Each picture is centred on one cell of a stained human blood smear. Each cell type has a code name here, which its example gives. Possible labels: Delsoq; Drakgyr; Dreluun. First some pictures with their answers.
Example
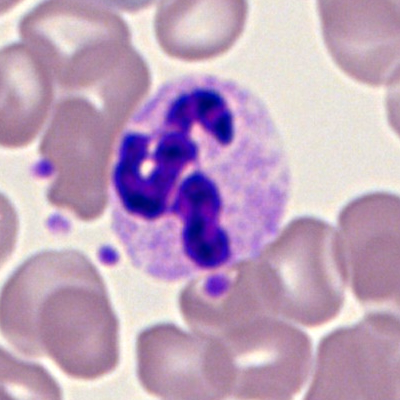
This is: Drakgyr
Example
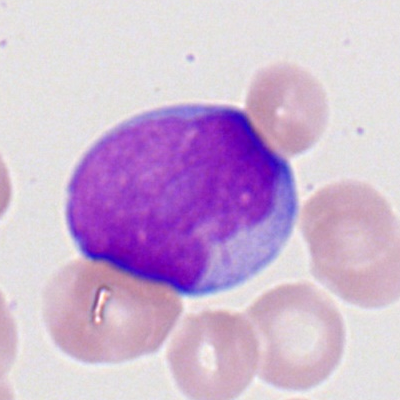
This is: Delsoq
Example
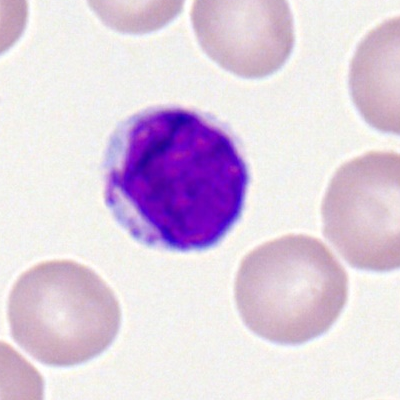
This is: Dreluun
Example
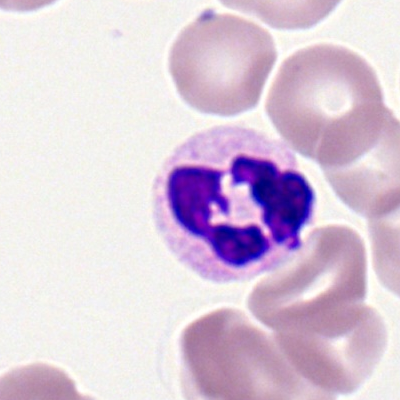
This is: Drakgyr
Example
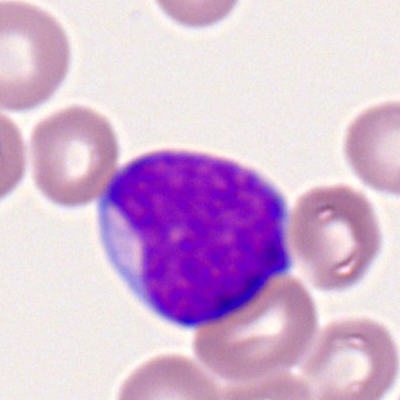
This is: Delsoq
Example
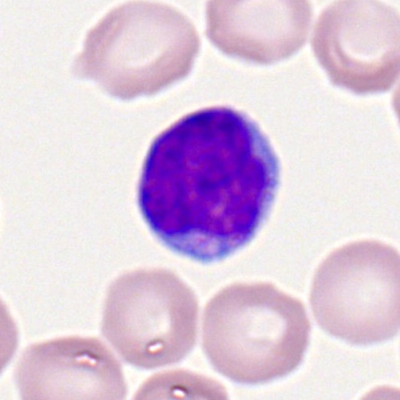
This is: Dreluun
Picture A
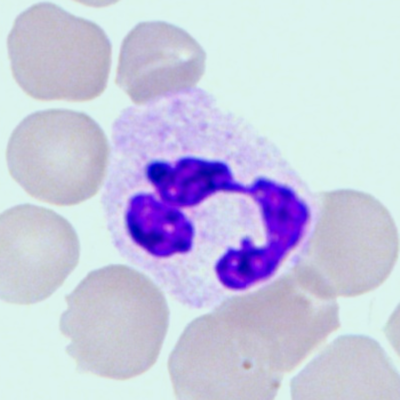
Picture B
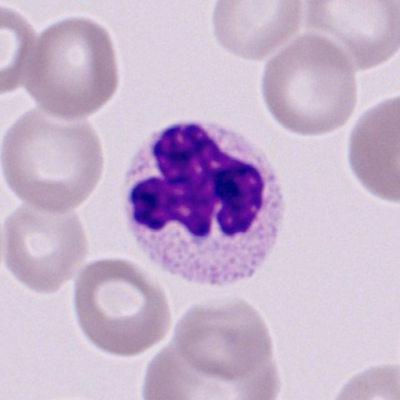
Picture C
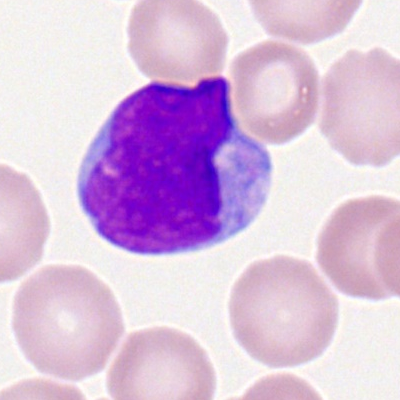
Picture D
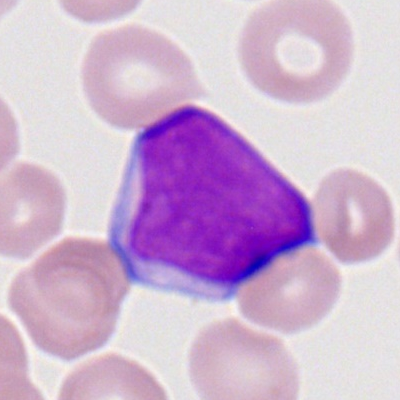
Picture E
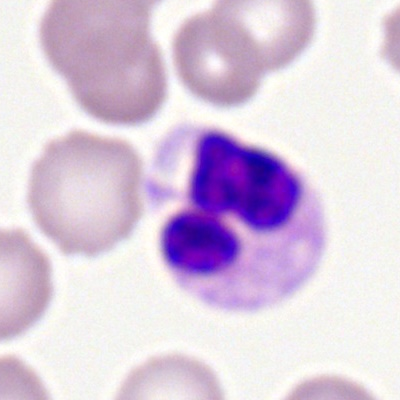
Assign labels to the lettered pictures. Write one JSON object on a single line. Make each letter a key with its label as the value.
{"A": "Drakgyr", "B": "Drakgyr", "C": "Delsoq", "D": "Delsoq", "E": "Drakgyr"}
